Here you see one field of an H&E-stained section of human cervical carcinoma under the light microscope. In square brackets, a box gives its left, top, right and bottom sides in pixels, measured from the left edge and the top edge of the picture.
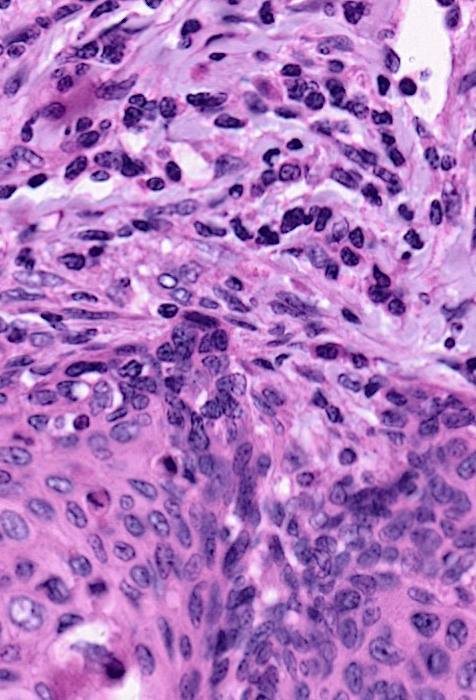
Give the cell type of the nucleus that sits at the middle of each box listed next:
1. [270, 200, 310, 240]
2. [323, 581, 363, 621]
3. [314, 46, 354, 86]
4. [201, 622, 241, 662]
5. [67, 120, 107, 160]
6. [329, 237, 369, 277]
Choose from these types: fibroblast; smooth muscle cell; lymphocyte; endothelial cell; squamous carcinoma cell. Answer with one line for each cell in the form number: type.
1: lymphocyte
2: squamous carcinoma cell
3: lymphocyte
4: squamous carcinoma cell
5: lymphocyte
6: lymphocyte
